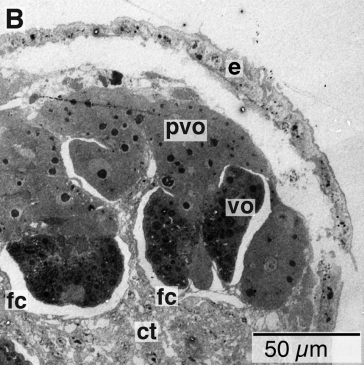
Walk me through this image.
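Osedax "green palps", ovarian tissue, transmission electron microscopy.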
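The oocytes are large cells with smooth gray cytoplasm; the paler ones hold scattered small dark granules, while others are much darker, packed with dense granules. Thin pale clefts separate the oocyte masses where the follicle cells lie. Along the top a thin layer of epidermal cells runs over the tissue, separated from it by a pale space.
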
